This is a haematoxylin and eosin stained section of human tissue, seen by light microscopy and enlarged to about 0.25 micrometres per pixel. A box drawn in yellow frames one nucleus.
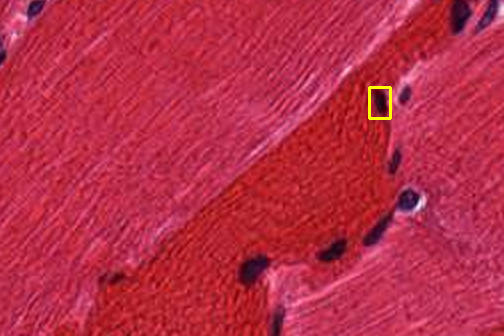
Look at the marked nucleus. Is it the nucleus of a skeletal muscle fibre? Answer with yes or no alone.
yes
